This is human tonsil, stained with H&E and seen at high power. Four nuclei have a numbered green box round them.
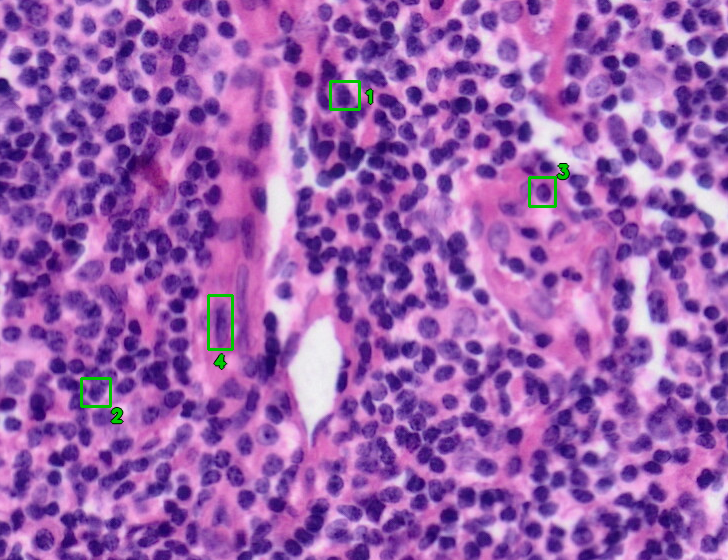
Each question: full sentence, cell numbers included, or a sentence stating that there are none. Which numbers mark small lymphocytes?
The cells the numbers 1 and 2 point to are small lymphocytes.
